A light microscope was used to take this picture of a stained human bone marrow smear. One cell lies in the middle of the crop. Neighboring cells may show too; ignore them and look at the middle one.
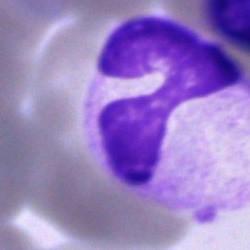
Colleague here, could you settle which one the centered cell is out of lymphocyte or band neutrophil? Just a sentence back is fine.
Of the cells in this crop, the central one is a band neutrophil.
